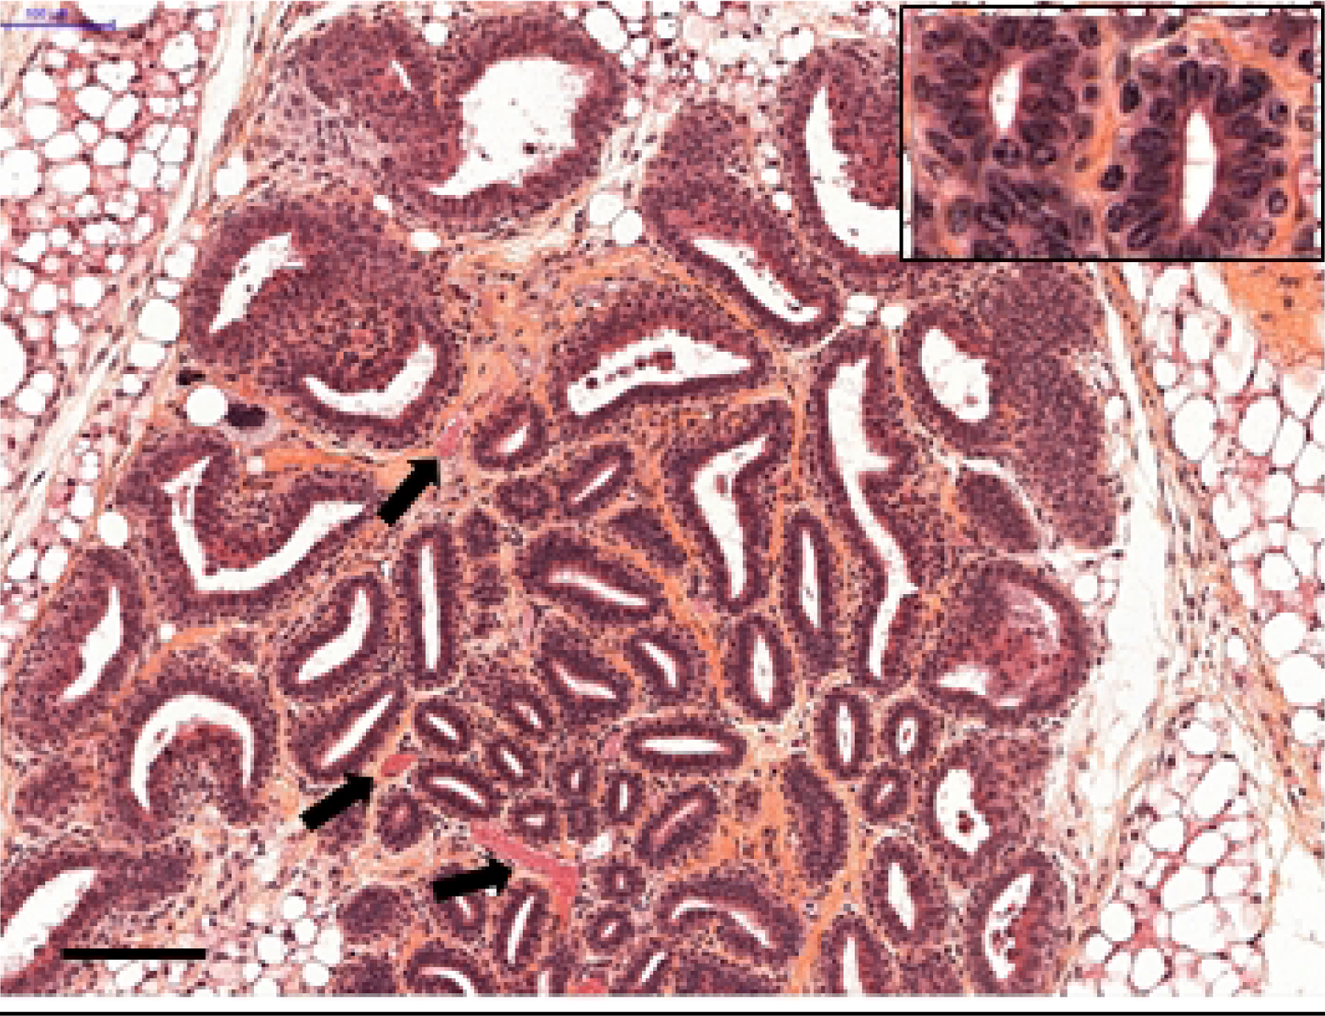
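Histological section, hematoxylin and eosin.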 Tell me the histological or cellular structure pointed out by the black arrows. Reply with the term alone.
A: Blood vessels.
